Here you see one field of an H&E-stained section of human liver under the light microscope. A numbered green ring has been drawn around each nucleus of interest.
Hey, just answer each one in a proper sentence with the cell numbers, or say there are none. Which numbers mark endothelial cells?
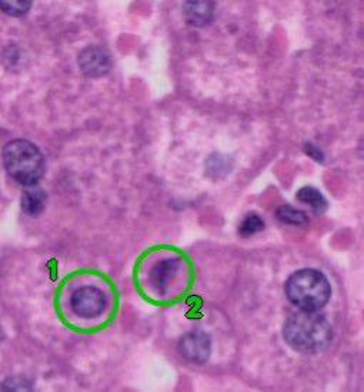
Of the cells bearing numbers, the only one that is an endothelial cell is cell 2.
